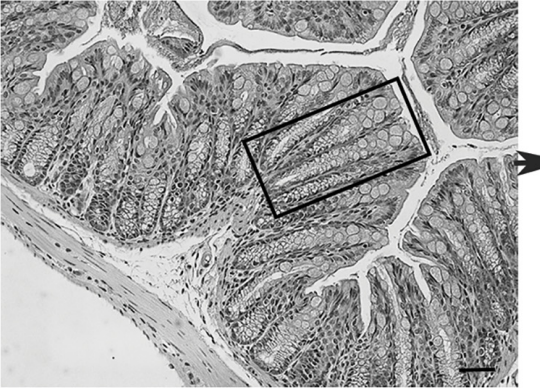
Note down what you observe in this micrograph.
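This is a section of colon mucosa made up of straight, unbranched tubular crypts that stand side by side, perpendicular to the lumen. The crypts are lined by a single layer of columnar epithelium. Many goblet cells with large, pale, rounded mucous vacuoles fill much of the epithelium, while the dark nuclei are pushed toward the base of the cells. Thin strips of lamina propria with scattered dark nuclei separate neighbouring crypts. The mucosa is thrown into folds that project into a branching, cleft-like lumen, and a smooth muscle layer forms a band at the outer edge of the section.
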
